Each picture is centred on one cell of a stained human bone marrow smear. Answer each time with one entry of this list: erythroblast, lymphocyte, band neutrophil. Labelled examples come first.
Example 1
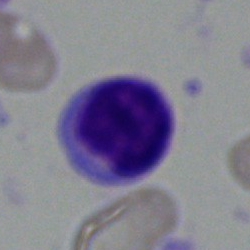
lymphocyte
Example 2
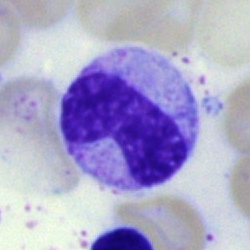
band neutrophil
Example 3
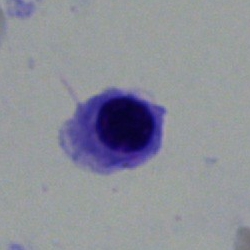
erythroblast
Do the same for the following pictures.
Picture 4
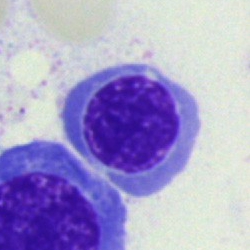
erythroblast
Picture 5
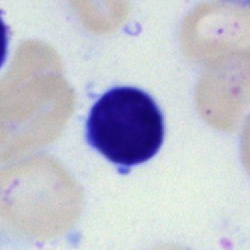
lymphocyte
